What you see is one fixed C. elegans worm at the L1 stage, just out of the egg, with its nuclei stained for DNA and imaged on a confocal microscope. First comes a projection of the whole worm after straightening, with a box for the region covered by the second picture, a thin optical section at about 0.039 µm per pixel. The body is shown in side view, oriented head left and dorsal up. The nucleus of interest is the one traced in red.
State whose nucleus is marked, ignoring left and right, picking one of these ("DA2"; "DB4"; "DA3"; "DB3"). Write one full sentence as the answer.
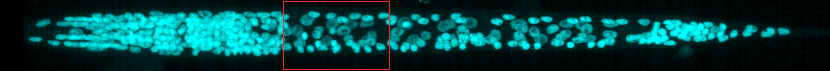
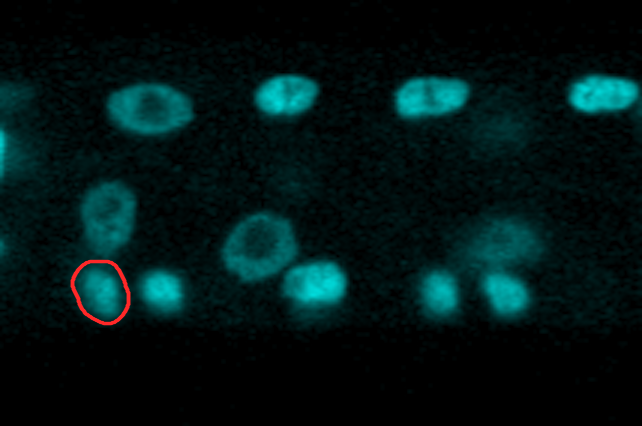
The marked nucleus belongs to DB3, a neuron.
